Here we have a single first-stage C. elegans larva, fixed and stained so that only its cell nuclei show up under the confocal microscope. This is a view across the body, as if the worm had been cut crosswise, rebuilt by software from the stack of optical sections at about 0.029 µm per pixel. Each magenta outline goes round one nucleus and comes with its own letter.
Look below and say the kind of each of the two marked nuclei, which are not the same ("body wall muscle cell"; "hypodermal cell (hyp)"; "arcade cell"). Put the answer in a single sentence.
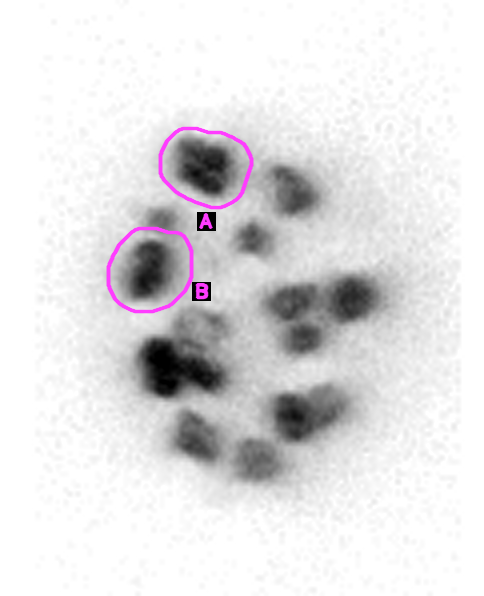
Nucleus A comes from a hypodermal cell (hyp) and nucleus B from an arcade cell.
